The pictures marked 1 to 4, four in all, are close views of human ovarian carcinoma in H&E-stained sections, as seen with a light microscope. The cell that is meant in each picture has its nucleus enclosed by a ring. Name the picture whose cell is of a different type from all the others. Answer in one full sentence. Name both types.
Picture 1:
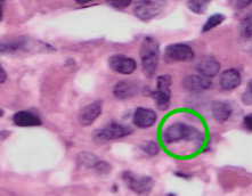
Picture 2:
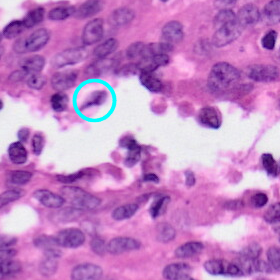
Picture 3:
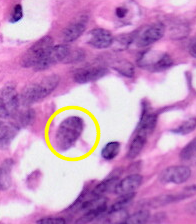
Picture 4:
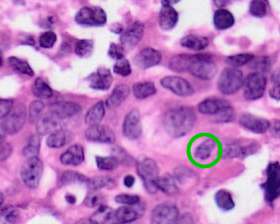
Picture 3 differs, because its cell is a carcinoma cell and the rest are “macrophages or monocytes”.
